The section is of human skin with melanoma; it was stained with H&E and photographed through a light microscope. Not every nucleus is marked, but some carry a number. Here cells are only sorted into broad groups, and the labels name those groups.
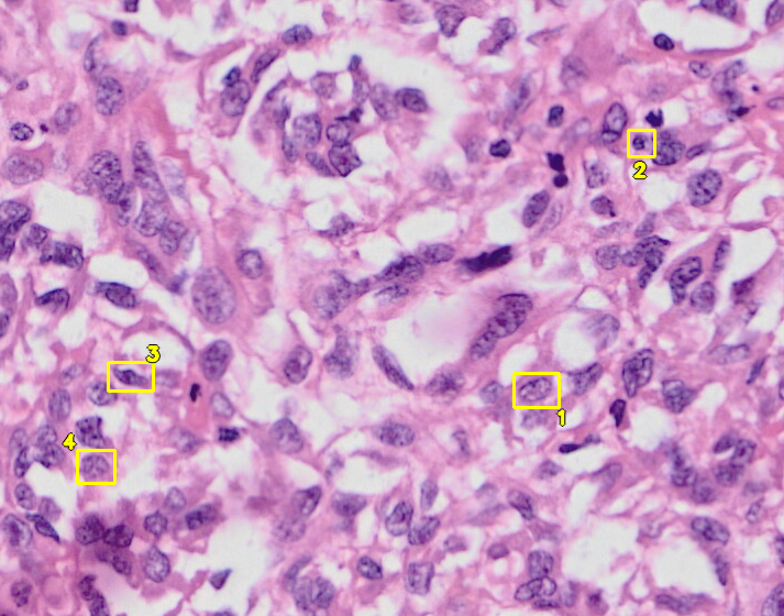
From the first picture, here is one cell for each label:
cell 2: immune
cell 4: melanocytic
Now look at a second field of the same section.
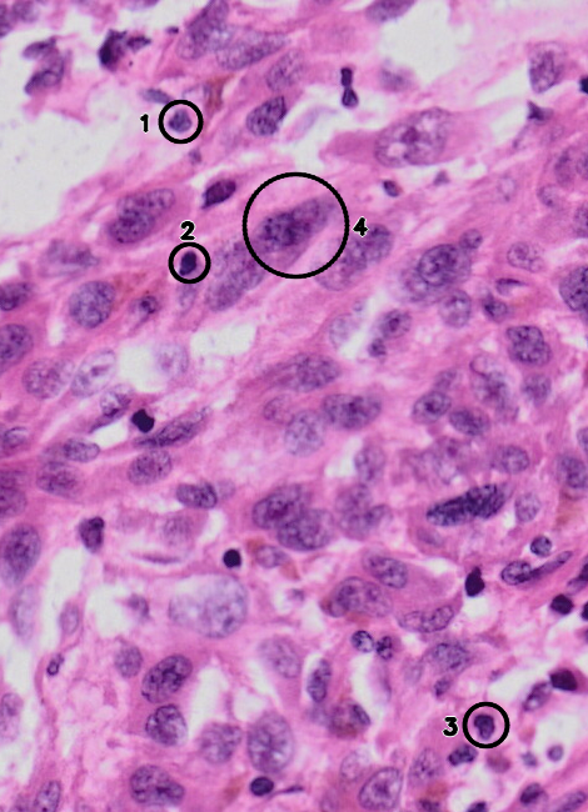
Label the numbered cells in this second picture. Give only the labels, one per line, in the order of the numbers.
immune
immune
immune
melanocytic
